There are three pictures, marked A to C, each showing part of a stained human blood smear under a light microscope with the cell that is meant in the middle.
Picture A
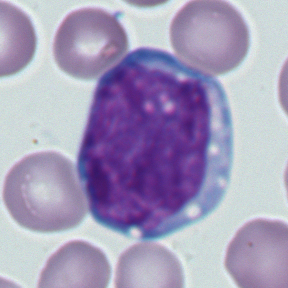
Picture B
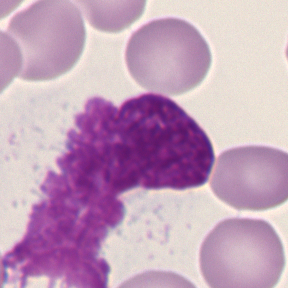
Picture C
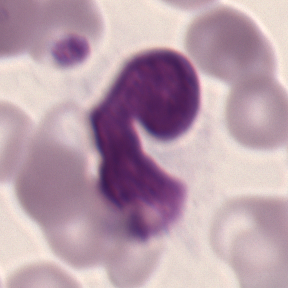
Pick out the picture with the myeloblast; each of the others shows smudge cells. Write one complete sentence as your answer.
The picture with the myeloblast is A.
